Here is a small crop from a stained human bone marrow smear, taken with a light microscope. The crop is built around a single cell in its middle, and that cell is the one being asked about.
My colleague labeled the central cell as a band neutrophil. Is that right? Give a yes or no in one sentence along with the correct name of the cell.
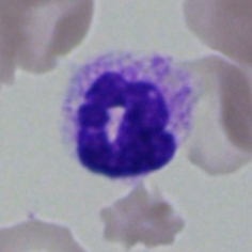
No, the cell at the centre is identified as a segmented neutrophil, not as a band neutrophil.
